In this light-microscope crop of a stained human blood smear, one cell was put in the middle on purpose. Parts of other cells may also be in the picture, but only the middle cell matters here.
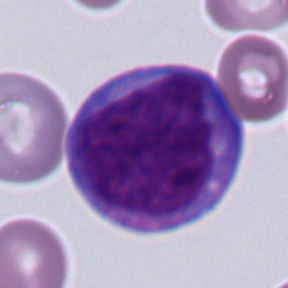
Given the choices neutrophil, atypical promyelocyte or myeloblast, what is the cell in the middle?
atypical promyelocyte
